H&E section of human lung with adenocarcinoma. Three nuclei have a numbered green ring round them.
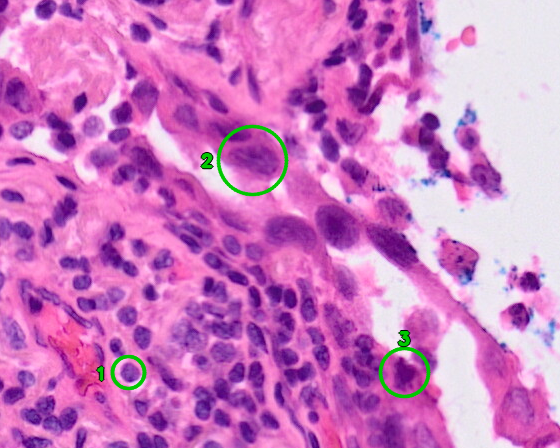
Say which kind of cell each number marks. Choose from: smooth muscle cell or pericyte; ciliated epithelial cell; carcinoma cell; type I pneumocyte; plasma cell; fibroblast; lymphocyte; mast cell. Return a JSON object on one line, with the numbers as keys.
{"1": "lymphocyte", "2": "carcinoma cell", "3": "carcinoma cell"}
